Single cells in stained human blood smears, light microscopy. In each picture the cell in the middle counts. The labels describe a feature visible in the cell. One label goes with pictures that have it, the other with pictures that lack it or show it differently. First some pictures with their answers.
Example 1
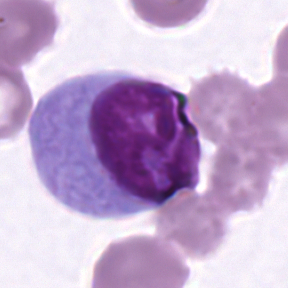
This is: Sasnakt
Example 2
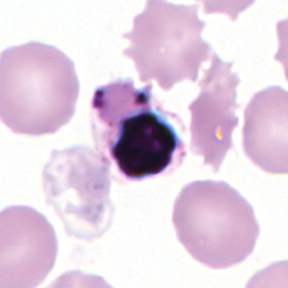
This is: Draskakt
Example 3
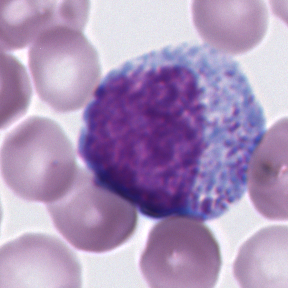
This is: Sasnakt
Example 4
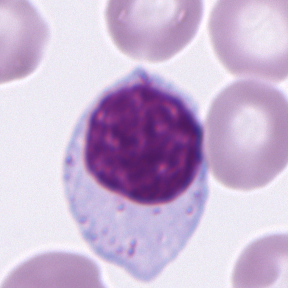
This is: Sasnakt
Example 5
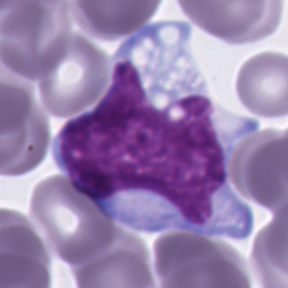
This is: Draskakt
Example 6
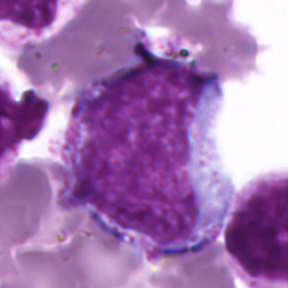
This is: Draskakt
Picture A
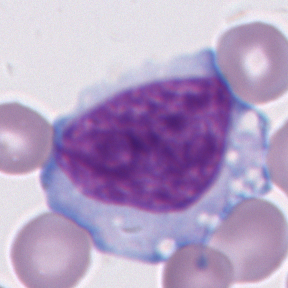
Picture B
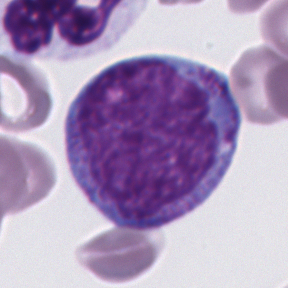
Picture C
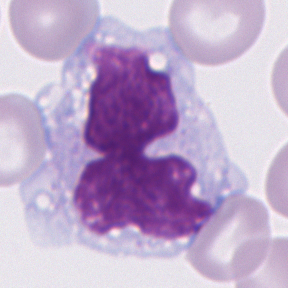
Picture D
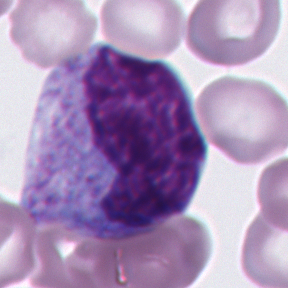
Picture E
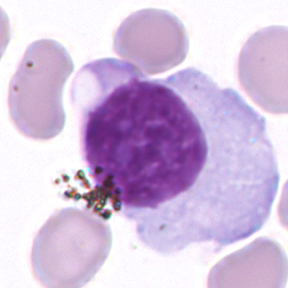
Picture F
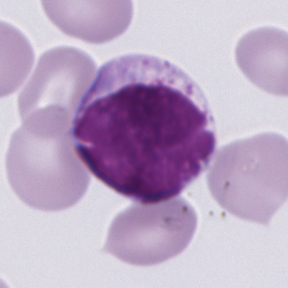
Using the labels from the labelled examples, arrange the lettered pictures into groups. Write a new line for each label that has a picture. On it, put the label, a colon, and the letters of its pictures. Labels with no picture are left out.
Sasnakt: A, C, D, E
Draskakt: B, F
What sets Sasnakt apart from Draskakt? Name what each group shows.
In Sasnakt: abundant cytoplasm. In Draskakt: scant cytoplasm.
